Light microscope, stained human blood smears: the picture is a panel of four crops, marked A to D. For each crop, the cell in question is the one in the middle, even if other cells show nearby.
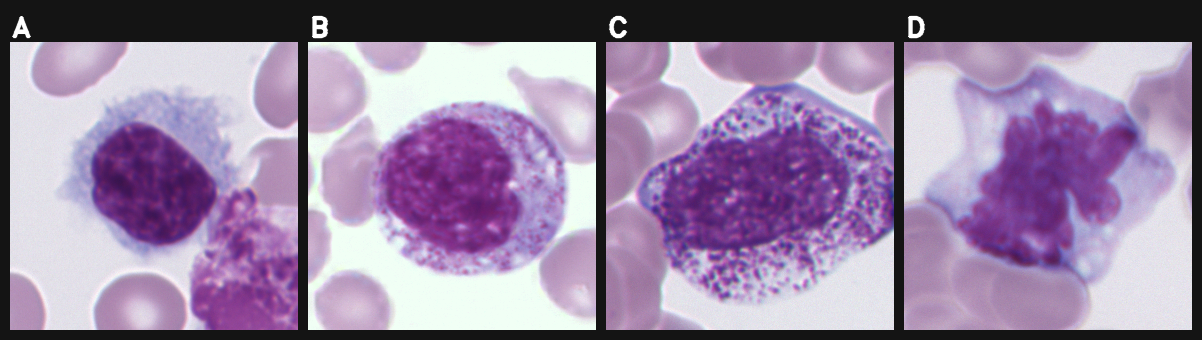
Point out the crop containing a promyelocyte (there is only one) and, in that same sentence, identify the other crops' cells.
Crop C is classified as a promyelocyte, whereas crop A is a hairy cell, crop B is a myelocyte and crop D is a monocyte.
